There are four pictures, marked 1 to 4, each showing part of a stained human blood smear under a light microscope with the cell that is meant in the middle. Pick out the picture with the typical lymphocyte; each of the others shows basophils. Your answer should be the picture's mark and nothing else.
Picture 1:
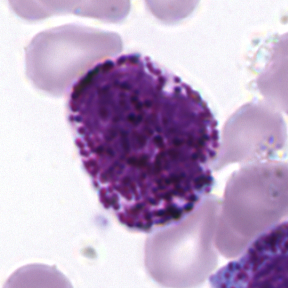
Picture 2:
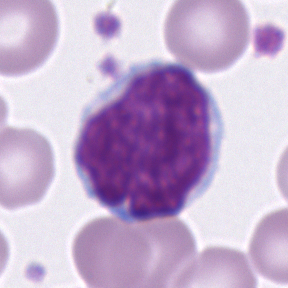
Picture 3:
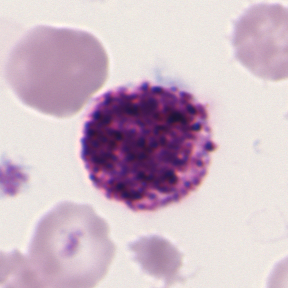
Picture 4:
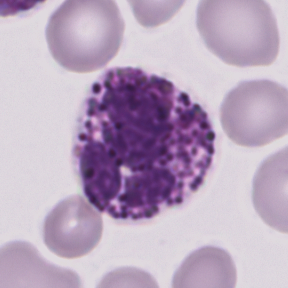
2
